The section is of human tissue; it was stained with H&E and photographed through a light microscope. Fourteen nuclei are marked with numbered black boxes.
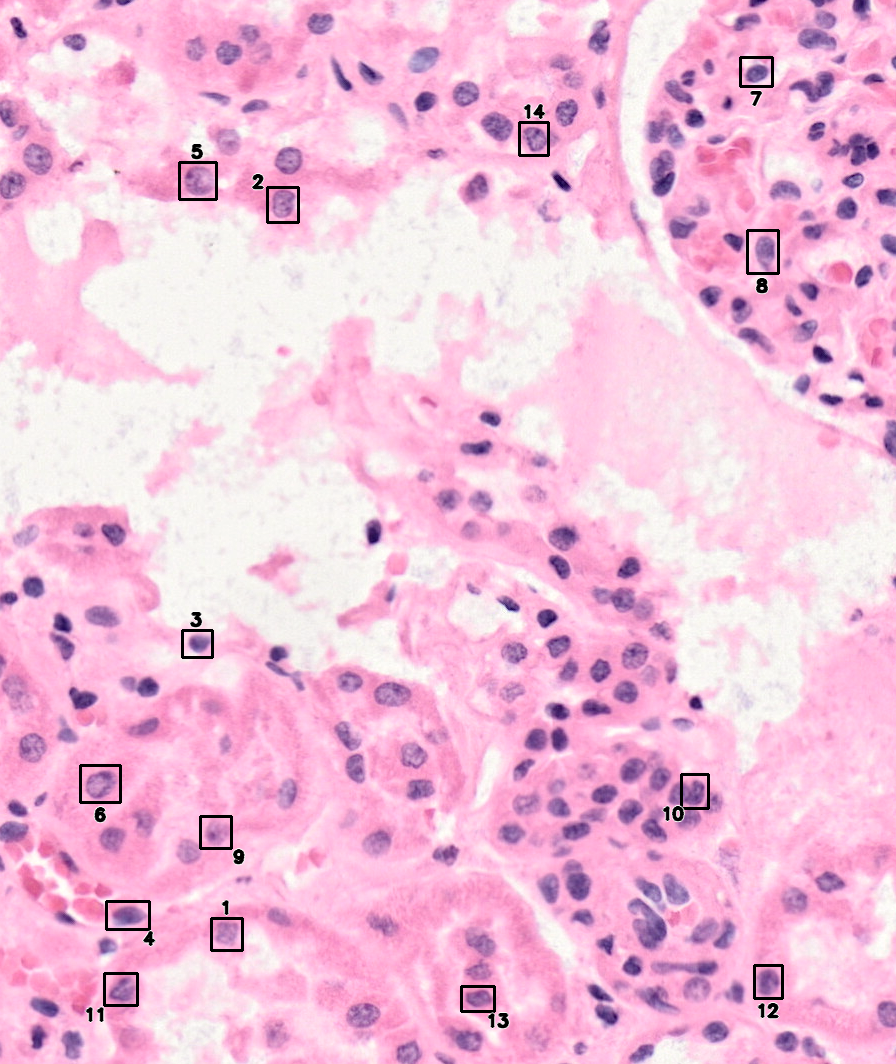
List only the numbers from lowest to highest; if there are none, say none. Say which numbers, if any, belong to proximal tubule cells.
1, 2, 5, 6, 9, 11, 12, 13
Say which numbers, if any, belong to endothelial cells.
3, 4, 7, 8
